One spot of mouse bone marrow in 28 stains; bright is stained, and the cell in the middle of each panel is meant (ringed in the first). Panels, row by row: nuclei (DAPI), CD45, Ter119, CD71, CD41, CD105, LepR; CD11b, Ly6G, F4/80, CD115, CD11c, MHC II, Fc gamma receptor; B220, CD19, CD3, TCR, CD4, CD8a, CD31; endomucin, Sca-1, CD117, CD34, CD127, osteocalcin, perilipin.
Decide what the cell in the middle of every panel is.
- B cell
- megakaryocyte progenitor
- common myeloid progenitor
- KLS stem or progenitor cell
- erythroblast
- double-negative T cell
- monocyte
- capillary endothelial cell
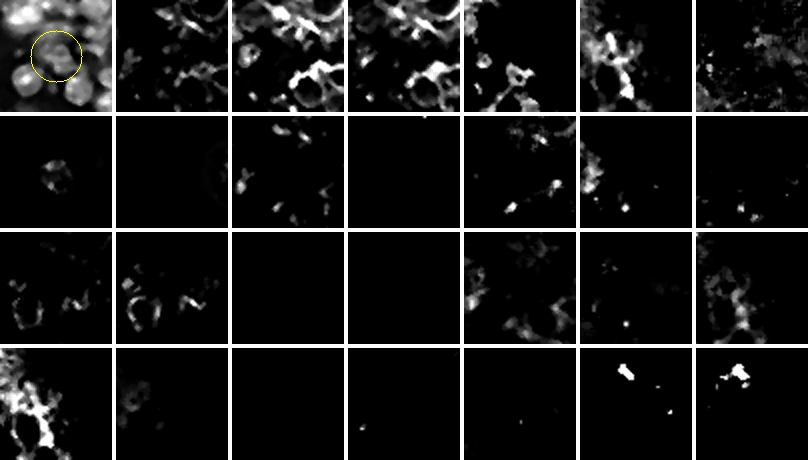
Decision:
capillary endothelial cell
